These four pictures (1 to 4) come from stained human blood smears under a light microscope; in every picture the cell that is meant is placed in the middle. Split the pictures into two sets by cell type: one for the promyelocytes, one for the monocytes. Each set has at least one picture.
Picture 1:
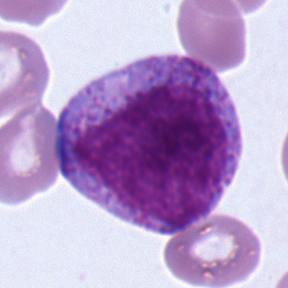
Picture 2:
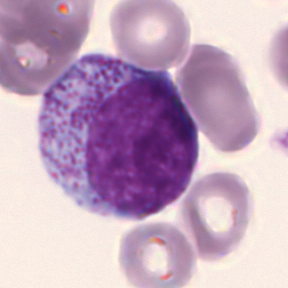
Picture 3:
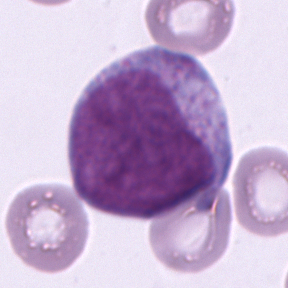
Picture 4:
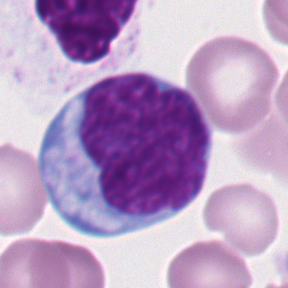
1: promyelocyte
2: promyelocyte
3: promyelocyte
4: monocyte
